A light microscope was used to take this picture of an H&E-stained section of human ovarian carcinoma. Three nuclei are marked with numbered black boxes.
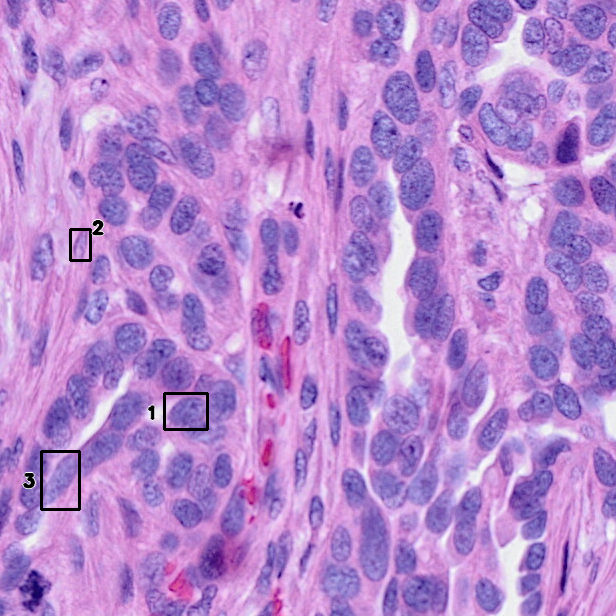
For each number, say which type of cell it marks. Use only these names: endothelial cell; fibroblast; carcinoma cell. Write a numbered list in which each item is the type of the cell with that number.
1. carcinoma cell
2. fibroblast
3. carcinoma cell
